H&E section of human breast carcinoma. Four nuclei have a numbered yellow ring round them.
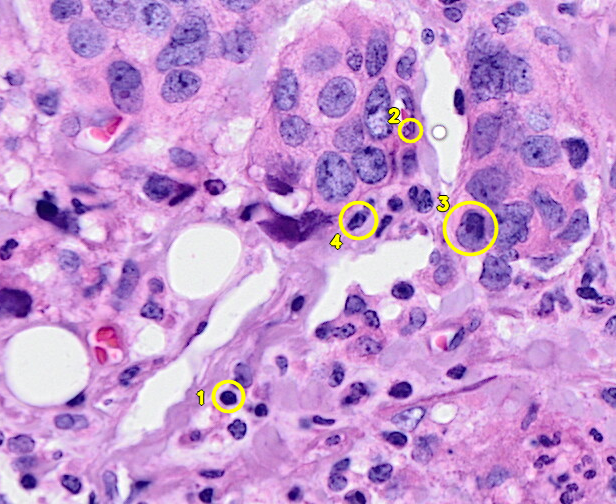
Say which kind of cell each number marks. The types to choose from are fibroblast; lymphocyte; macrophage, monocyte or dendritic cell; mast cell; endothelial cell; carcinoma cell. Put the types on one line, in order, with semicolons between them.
lymphocyte; endothelial cell; carcinoma cell; lymphocyte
